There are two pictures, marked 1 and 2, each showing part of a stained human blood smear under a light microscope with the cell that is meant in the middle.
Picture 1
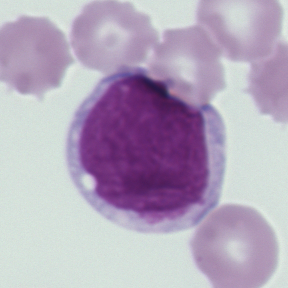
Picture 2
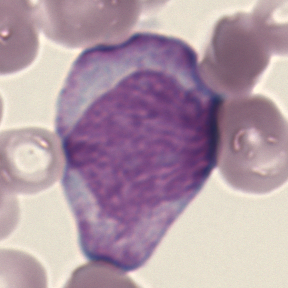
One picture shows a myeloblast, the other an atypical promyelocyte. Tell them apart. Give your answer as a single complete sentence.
Picture 1 shows a myeloblast and picture 2 shows an atypical promyelocyte.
